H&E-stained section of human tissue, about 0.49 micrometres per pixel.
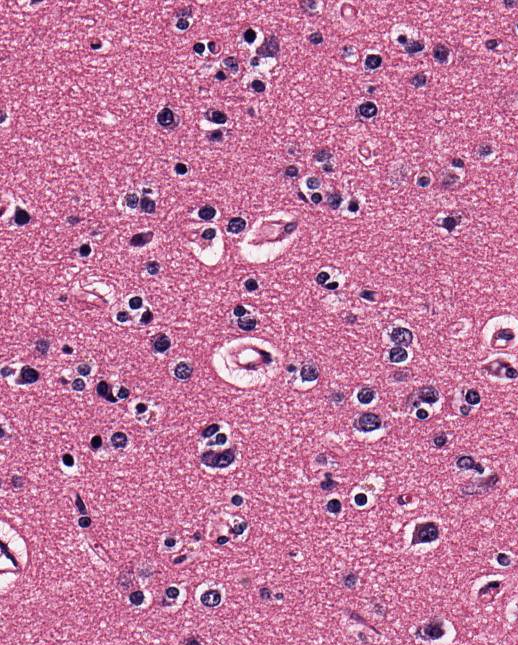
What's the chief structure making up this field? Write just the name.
cerebral cortex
